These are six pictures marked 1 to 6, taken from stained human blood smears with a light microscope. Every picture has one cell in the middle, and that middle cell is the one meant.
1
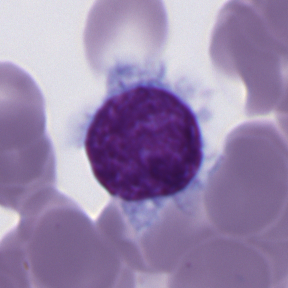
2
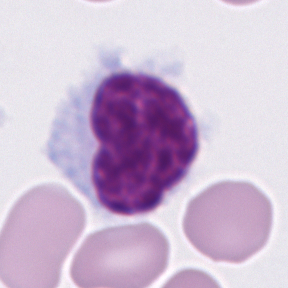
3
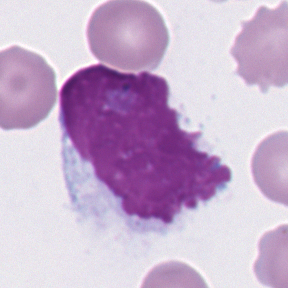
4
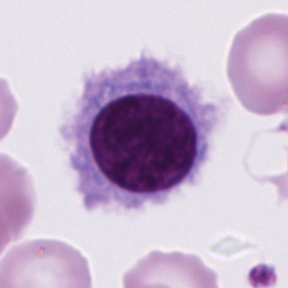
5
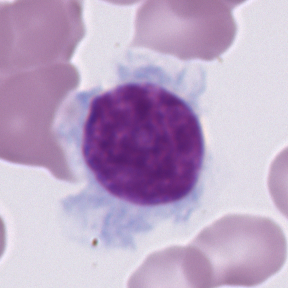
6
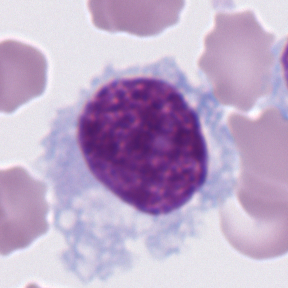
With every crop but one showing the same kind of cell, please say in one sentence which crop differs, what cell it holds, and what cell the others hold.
The different crop is 3; it is a smudge cell, and the others all show hairy cells.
